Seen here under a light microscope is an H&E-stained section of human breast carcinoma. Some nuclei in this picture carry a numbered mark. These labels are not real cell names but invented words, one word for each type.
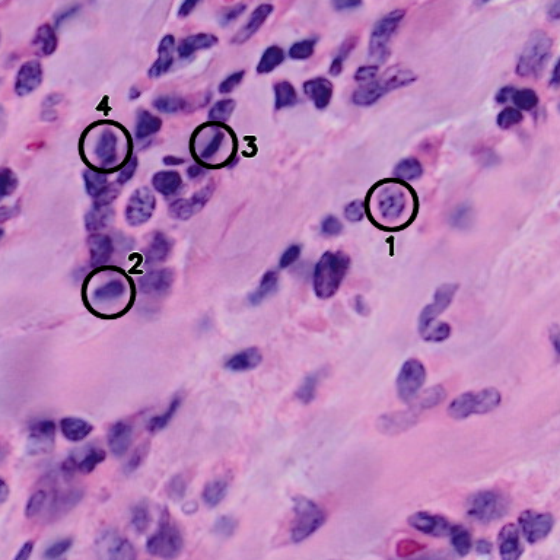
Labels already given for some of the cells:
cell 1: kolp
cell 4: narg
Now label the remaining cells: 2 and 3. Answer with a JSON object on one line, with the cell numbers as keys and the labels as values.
{"2": "narg", "3": "narg"}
